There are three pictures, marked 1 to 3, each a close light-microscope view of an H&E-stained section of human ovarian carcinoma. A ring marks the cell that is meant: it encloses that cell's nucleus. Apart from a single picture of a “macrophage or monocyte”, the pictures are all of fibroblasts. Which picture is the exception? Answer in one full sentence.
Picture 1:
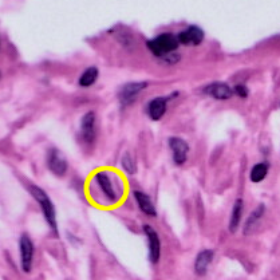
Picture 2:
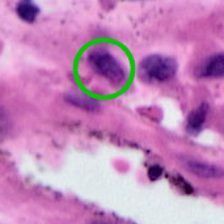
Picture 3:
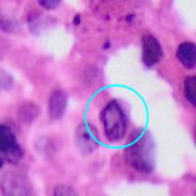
Picture 3 shows the “macrophage or monocyte”.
